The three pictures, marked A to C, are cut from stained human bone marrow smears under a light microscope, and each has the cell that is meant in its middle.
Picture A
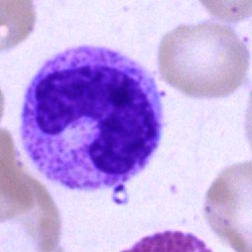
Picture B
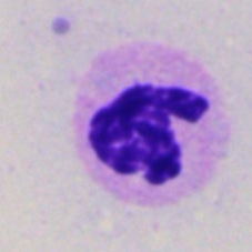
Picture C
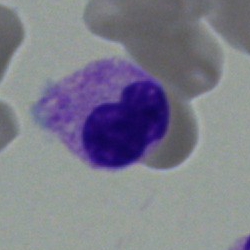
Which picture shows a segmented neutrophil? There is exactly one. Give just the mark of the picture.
B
